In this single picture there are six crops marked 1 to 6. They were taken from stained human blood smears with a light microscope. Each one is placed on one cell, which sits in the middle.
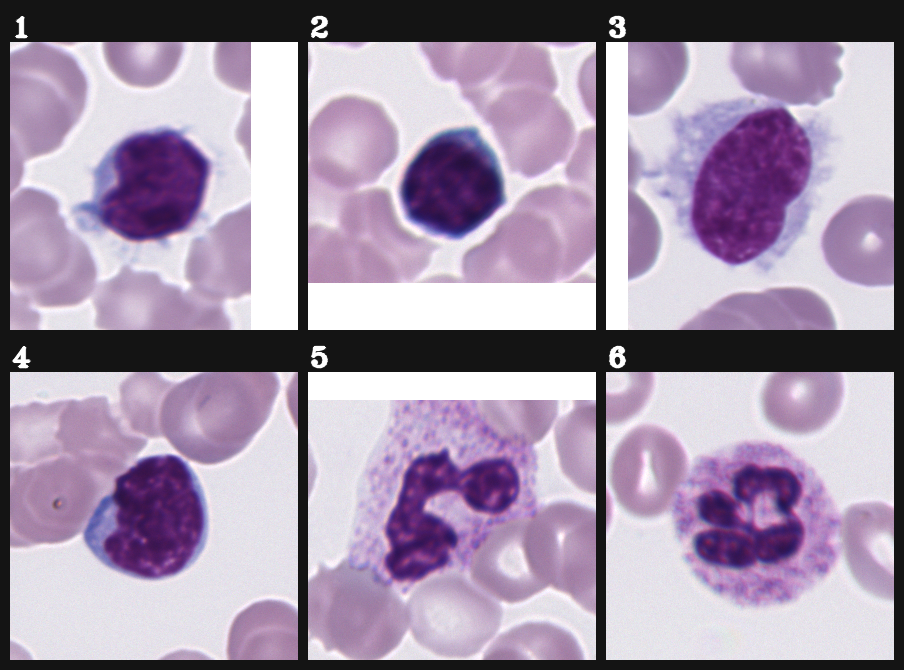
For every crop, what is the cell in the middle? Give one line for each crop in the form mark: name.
1: hairy cell
2: typical lymphocyte
3: hairy cell
4: typical lymphocyte
5: segmented neutrophil
6: segmented neutrophil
